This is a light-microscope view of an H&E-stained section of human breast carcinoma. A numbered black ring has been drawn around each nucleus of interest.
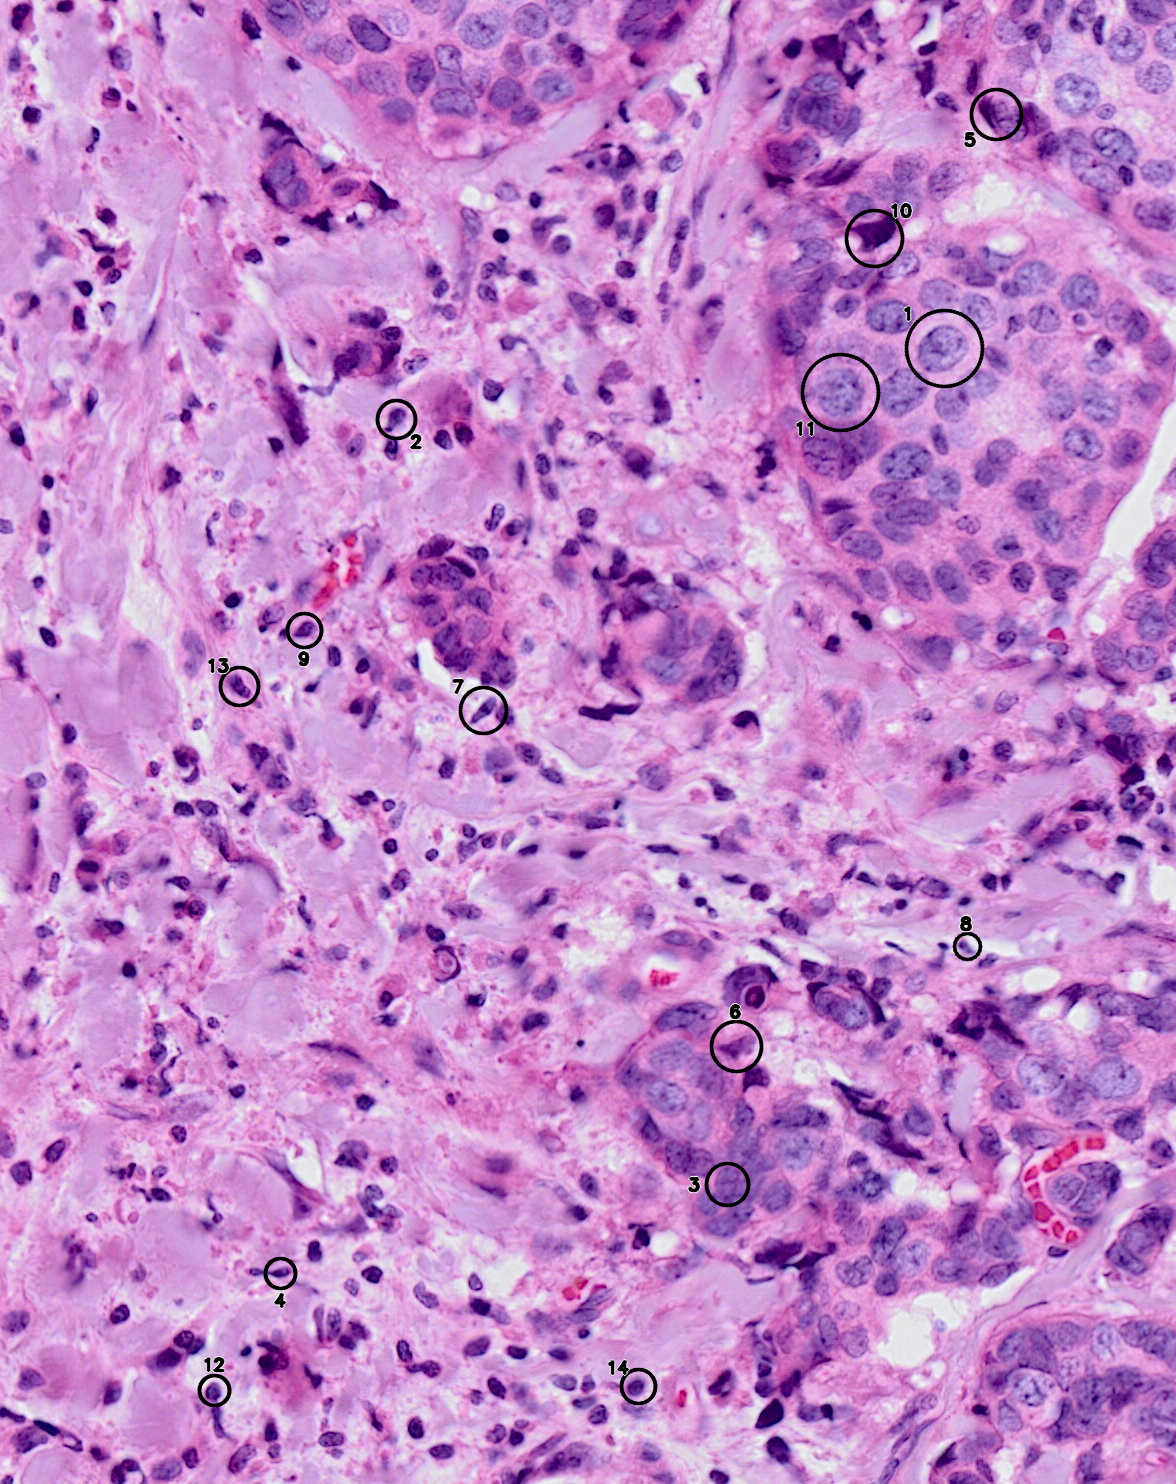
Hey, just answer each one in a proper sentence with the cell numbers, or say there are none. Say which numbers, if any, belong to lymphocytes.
The cells tagged 2, 4, 7, 8, 9, 12, 13 and 14 are lymphocytes in this tissue section.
